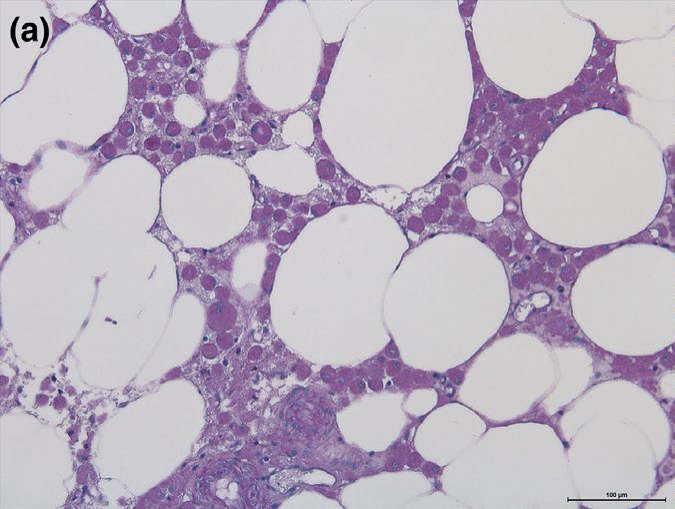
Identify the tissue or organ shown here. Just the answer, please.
Adipose tissue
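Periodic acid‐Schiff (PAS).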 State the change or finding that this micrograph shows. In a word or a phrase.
Round and large cell proliferation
